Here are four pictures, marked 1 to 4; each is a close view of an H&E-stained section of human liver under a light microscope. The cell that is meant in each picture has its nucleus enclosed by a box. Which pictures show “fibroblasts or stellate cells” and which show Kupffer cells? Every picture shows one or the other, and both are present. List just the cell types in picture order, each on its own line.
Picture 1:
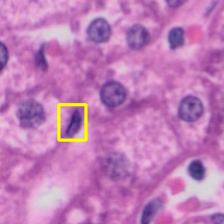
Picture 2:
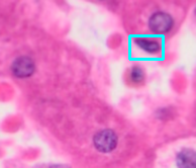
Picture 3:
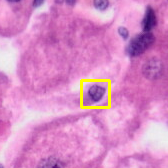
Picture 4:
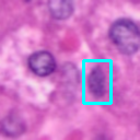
fibroblast or stellate cell
fibroblast or stellate cell
Kupffer cell
fibroblast or stellate cell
